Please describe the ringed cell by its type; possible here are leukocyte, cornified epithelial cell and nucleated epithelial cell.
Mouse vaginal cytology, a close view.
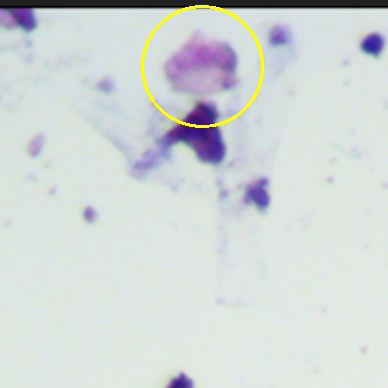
The yellow ring marks a cornified epithelial cell.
